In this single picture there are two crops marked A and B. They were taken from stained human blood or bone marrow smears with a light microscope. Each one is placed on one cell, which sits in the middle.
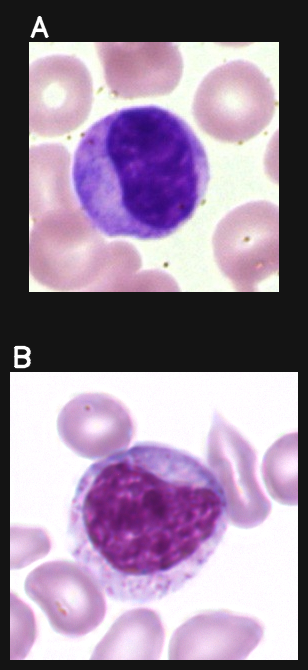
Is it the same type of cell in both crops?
yes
